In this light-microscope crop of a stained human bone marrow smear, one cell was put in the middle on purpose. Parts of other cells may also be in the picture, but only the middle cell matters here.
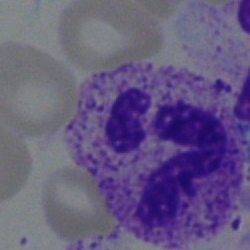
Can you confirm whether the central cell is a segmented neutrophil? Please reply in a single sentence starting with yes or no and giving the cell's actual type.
Yes, centred in the crop is a segmented neutrophil.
